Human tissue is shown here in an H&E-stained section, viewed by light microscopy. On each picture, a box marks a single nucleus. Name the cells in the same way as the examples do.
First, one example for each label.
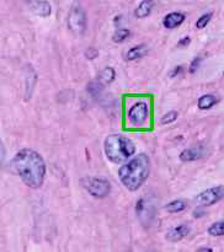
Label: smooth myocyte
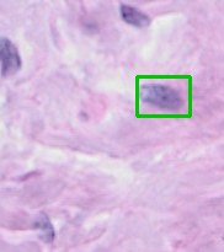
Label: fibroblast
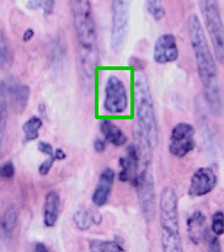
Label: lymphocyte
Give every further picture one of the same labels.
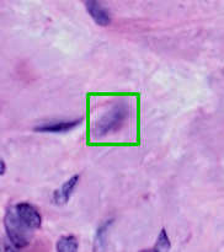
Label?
fibroblast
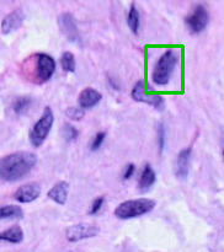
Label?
fibroblast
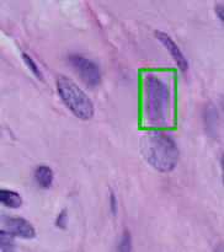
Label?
fibroblast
